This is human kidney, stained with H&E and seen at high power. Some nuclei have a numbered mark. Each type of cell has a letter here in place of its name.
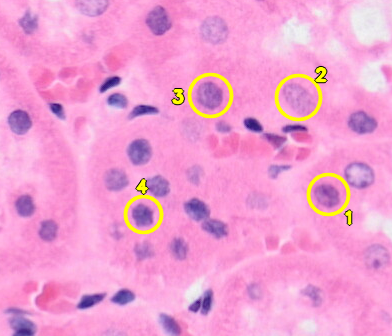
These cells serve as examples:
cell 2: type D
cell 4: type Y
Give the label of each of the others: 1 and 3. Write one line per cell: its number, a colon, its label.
1: type D
3: type D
